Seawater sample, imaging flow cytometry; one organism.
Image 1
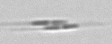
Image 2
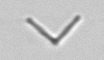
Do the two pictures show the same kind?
No: Cylindrotheca, then Nanoneis.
